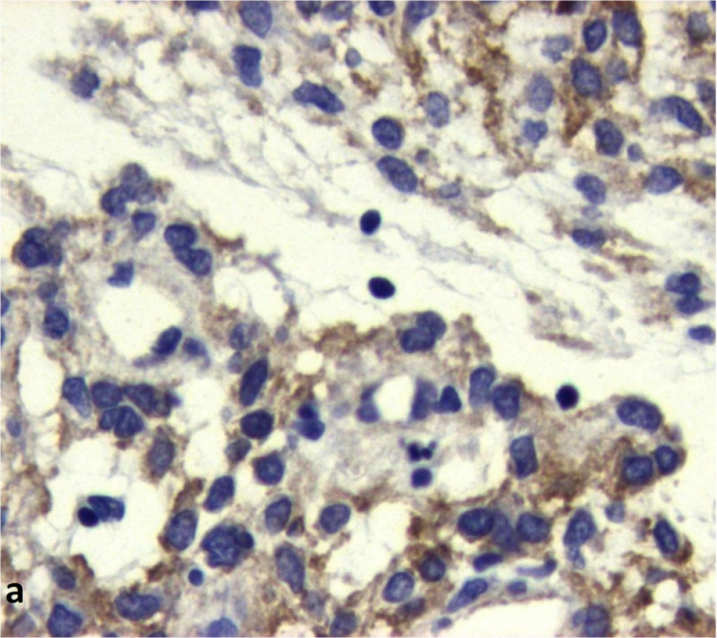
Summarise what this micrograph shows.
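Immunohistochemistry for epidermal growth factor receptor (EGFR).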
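The section shows loose clusters and cords of cells set in a pale, wispy, partly empty background crossing the field diagonally. The cells have oval to round nuclei that stain blue, with fairly even chromatin, and they are crowded in places, sometimes overlapping. Their cytoplasm carries brown, granular to finely fibrillar stain that gathers around and between the nuclei, outlining the cell groups. Clear, round spaces of varying size lie within the clusters, giving them a vacuolated, lace-like look. A few small, dark, round nuclei of isolated cells lie in the pale background.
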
